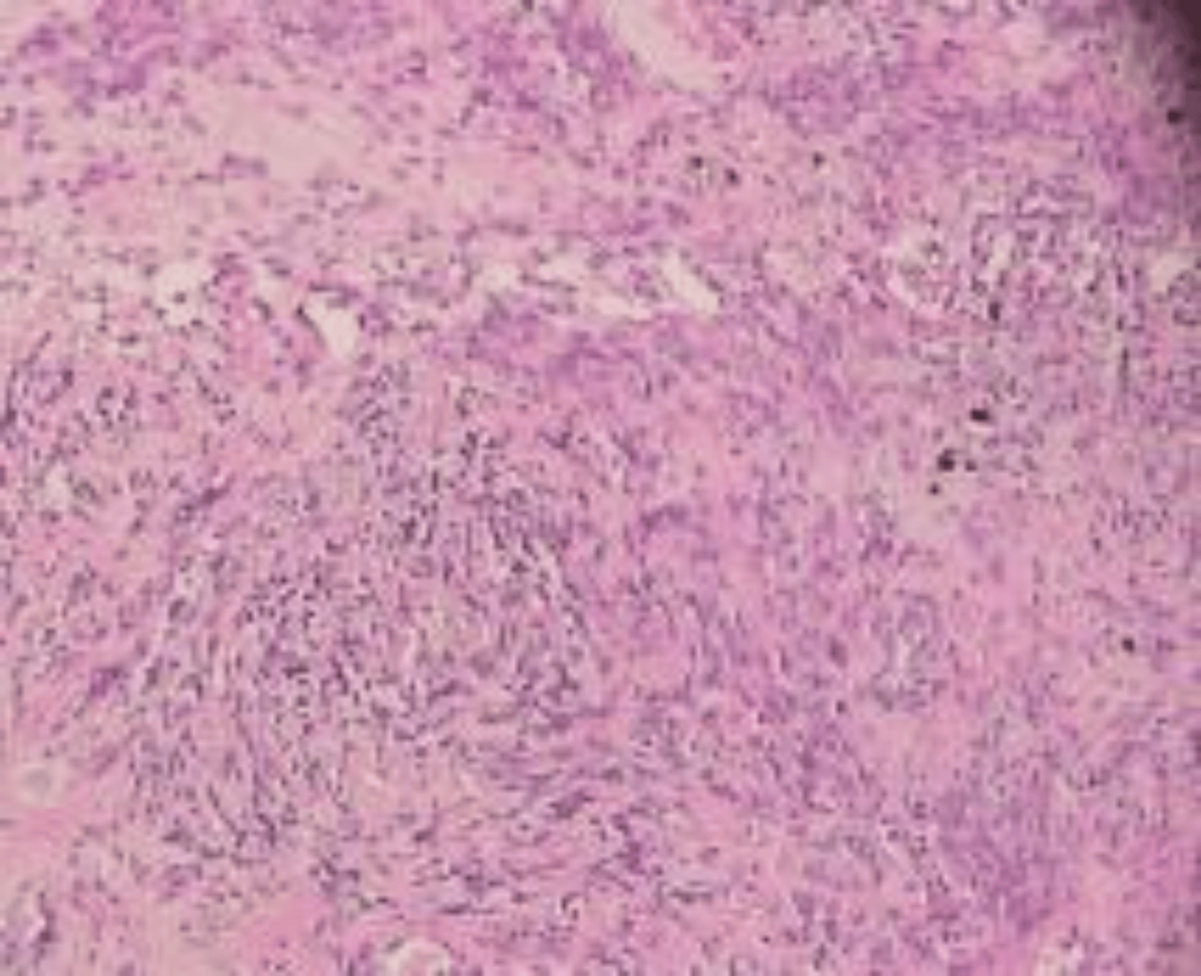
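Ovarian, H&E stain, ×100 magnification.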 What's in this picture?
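This is a cellular tumour made of epithelioid to spindle-shaped cells, packed closely and running in streaming bundles and looser groups that cross one another in different directions. The nuclei are dark purple and elongated to oval. They sit in pale pink, ill-defined cytoplasm, so single cell borders are hard to make out. Paler, glassy pink bands and small clear spaces wind through the upper part of the field, breaking the sheet of cells. There are denser clusters of nuclei in the lower centre. A few scattered dark specks lie on the right.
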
